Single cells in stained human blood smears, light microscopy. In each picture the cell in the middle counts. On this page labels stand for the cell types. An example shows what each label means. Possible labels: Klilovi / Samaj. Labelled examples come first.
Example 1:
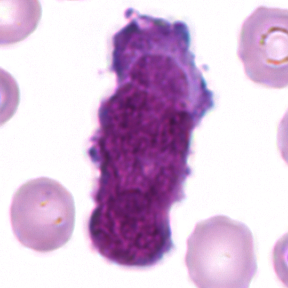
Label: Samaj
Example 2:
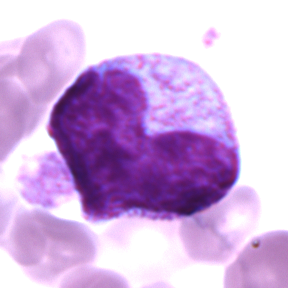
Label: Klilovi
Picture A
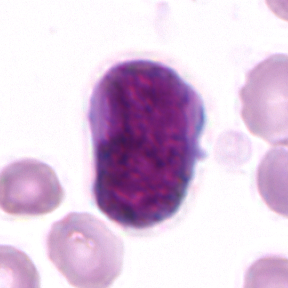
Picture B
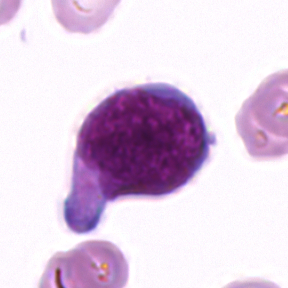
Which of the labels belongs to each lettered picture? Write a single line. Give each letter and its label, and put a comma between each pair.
A Samaj, B Samaj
